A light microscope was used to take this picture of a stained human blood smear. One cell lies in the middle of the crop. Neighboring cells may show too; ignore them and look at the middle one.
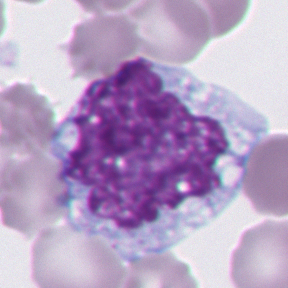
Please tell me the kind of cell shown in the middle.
monocyte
